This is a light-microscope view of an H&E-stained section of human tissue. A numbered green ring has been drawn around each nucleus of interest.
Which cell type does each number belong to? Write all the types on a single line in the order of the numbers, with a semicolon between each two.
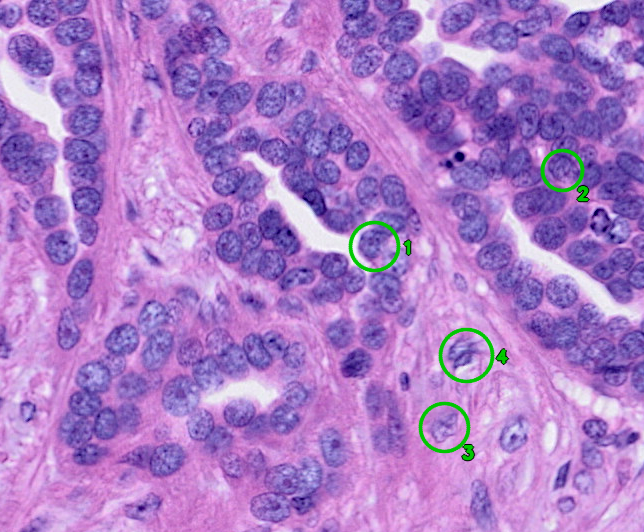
carcinoma cell; carcinoma cell; fibroblast; fibroblast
